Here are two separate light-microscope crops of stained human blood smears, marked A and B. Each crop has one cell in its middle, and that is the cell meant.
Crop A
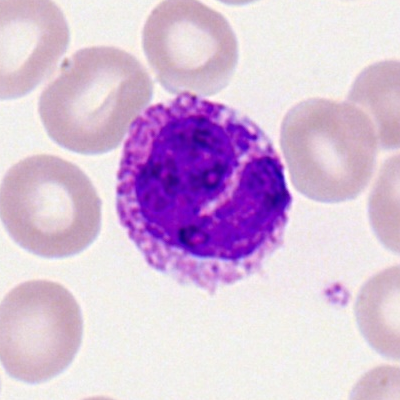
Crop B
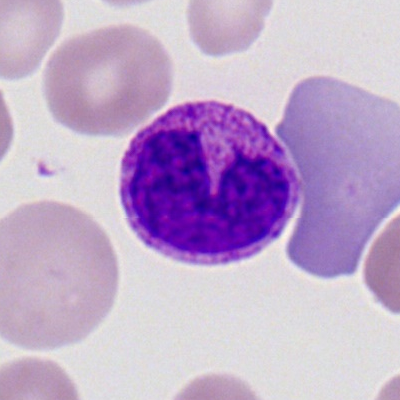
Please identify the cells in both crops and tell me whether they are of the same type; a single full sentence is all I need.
Yes, the cells that the two crops centre on are basophils.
